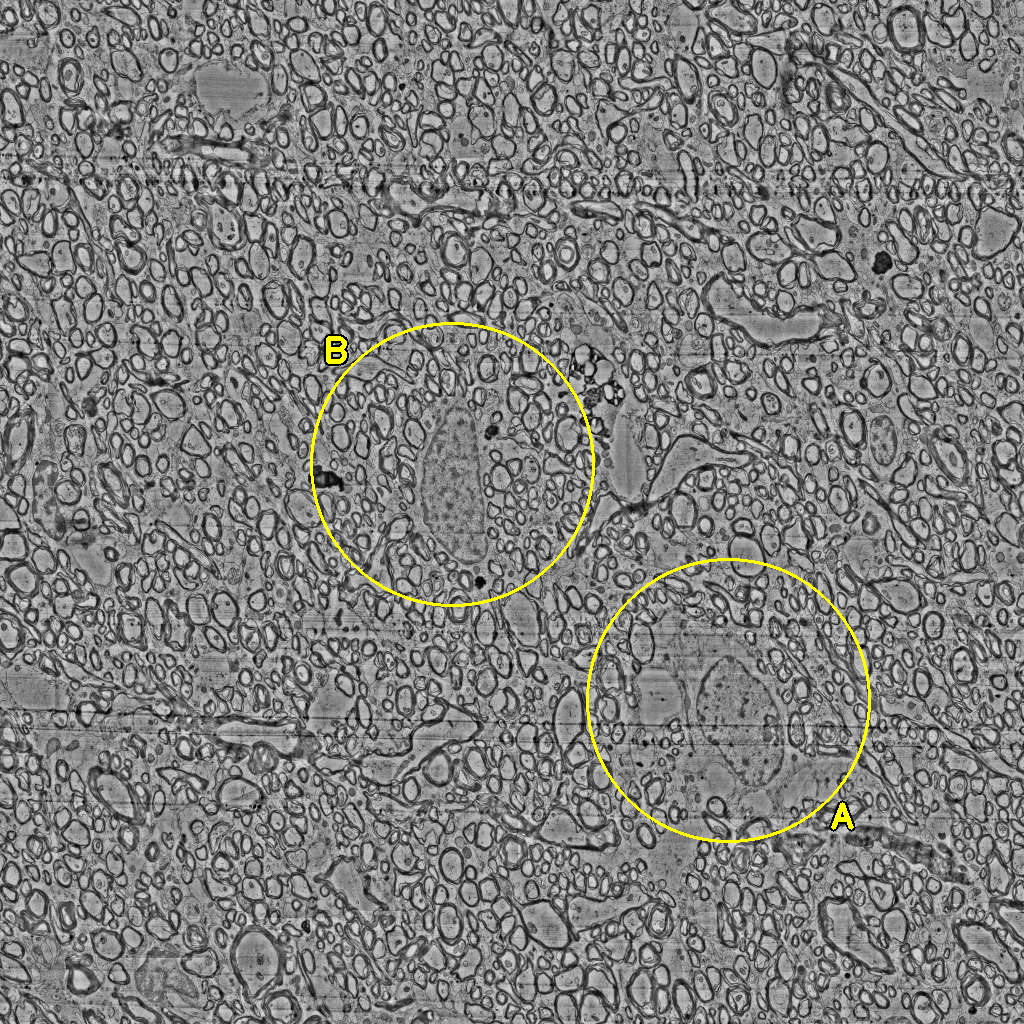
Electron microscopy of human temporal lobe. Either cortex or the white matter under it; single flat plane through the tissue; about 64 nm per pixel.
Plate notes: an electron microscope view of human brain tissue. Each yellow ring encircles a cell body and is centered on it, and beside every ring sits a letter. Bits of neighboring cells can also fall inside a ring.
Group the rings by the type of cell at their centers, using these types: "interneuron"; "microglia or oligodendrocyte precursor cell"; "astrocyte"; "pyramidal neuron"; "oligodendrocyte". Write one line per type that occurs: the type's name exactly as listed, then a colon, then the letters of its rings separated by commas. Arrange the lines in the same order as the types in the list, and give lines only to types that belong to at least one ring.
astrocyte: A
oligodendrocyte: B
